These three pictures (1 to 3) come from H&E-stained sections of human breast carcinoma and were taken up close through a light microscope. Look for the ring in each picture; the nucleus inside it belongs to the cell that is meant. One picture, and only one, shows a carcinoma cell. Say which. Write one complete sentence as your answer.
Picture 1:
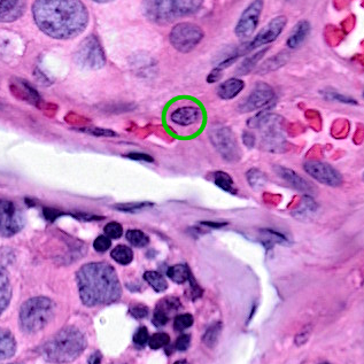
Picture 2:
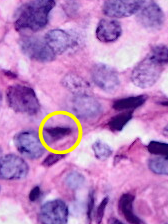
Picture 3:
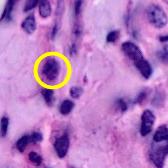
The cell in picture 2 is the carcinoma cell.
